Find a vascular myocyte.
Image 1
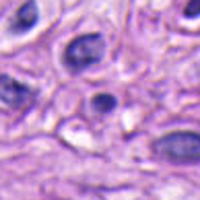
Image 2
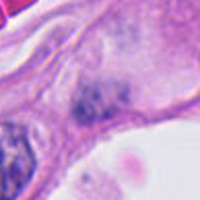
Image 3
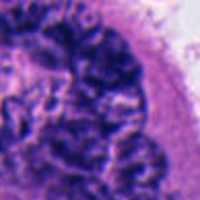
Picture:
1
